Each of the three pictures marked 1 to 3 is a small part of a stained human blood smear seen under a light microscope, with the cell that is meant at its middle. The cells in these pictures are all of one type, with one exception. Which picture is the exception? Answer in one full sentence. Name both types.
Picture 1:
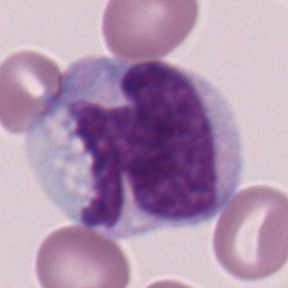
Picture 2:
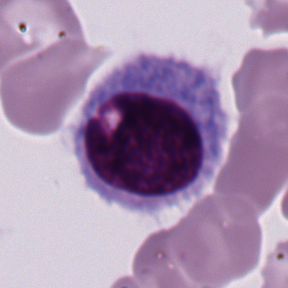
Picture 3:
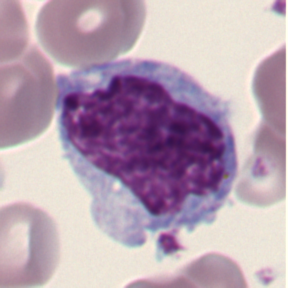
All pictures except 2 show monocytes; picture 2 shows a hairy cell.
